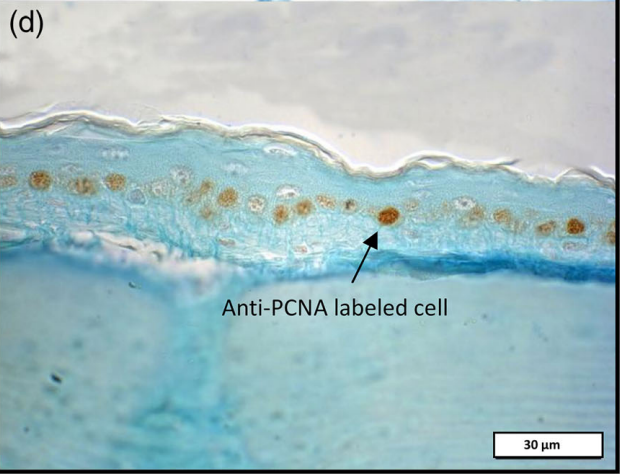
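Epidermal layer of skin: a thin sheet of cells with round nuclei, many lying in a row near the base, some nuclei brown, others pale with visible nucleoli. The cells rest on a thick, pale, blue-green fibrous layer with few cells, and thin wavy lamellar layers cover the outer surface.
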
